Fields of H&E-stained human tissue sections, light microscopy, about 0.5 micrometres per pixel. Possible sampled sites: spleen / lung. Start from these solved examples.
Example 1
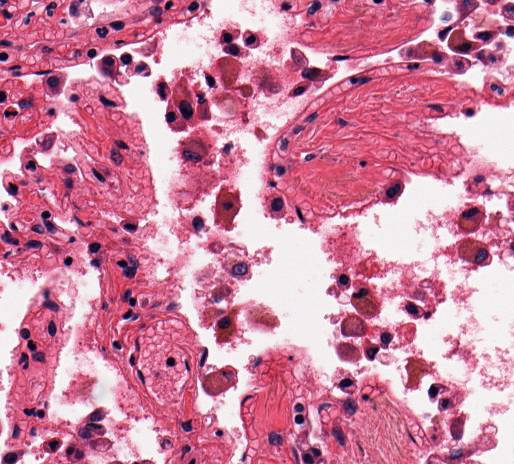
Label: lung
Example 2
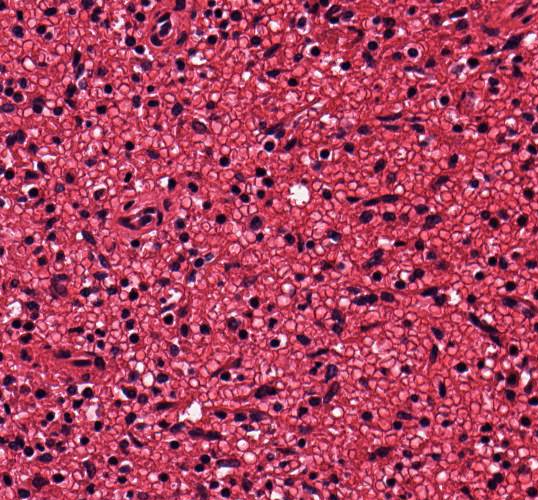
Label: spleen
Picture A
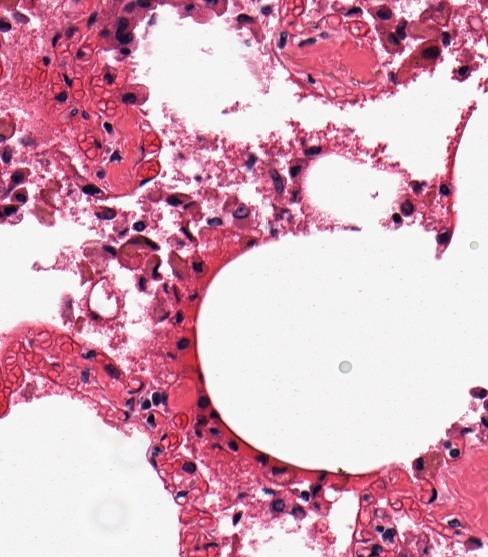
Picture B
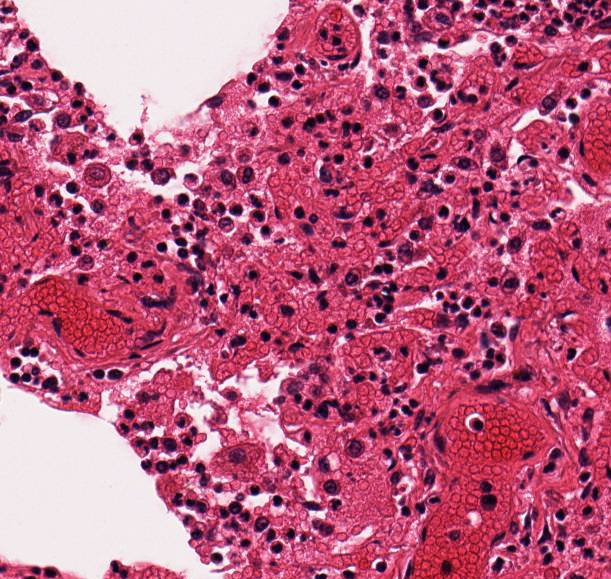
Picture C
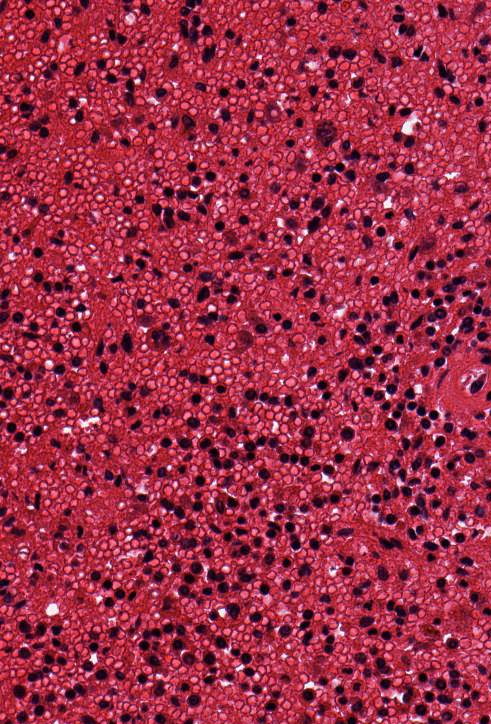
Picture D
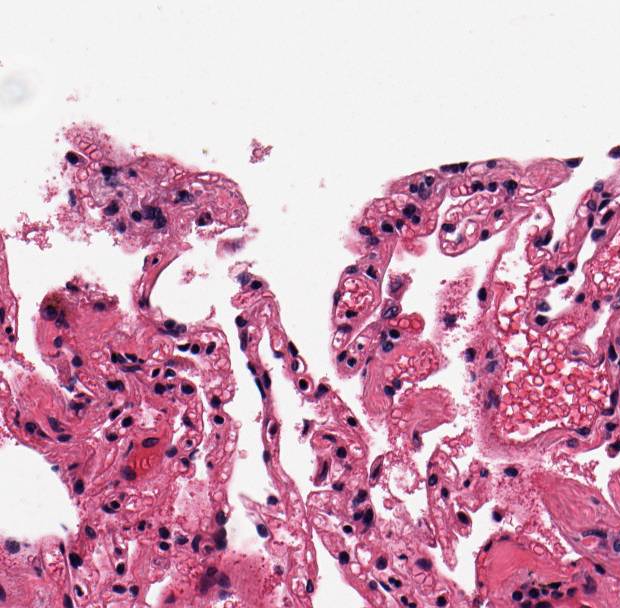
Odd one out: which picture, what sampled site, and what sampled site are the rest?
Odd one out: C (spleen). The rest: lung.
